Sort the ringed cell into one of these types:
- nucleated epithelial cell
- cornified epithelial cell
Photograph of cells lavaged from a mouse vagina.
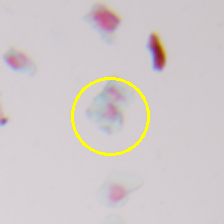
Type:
nucleated epithelial cell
